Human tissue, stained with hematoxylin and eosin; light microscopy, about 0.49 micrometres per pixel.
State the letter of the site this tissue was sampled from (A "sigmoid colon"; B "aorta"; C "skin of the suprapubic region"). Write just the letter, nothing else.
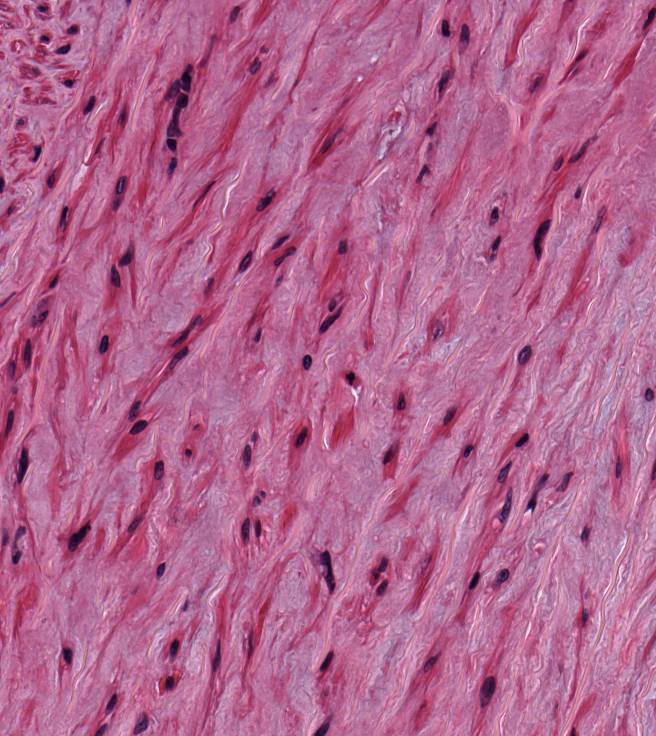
B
